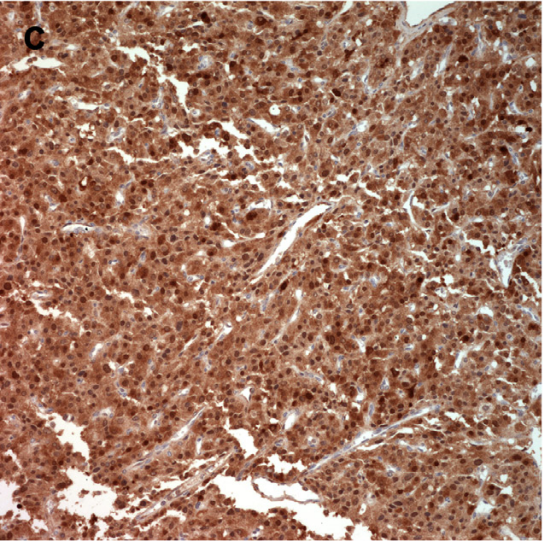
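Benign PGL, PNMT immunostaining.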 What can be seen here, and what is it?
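Tumour tissue composed of sheets and nests of polygonal cells separated by delicate thin-walled vessels. Brown stain is strong and diffuse across nearly all tumour cells, filling the cytoplasm and overlying many nuclei. Cells have moderate amounts of cytoplasm and fairly uniform round to oval nuclei. Small clefts and slit-like spaces lie between cell groups. Stroma is scant, limited to thin pale strands around the vessels.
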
